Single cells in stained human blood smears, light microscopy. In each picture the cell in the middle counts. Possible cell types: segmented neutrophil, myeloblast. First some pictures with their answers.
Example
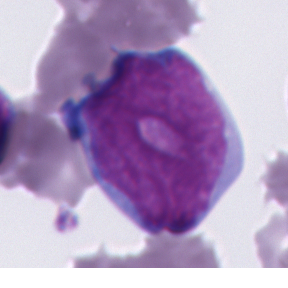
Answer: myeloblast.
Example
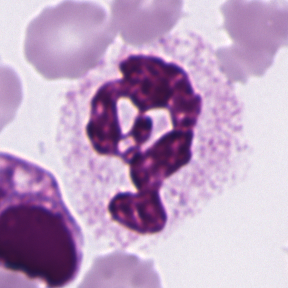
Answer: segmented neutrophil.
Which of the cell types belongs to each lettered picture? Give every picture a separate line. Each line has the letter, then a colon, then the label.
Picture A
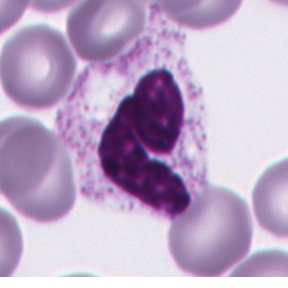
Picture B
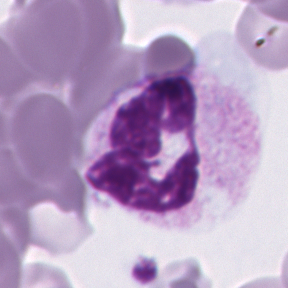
A: segmented neutrophil.
B: segmented neutrophil.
